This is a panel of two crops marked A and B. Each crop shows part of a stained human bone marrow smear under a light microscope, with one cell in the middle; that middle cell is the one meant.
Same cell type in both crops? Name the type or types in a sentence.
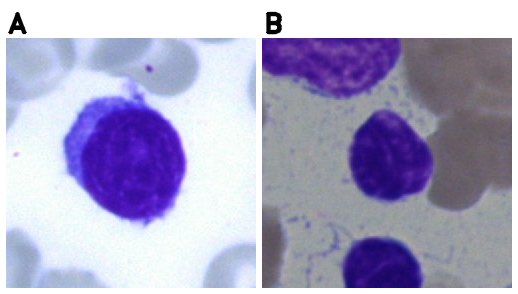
Yes, both crops do show lymphocytes in the middle.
